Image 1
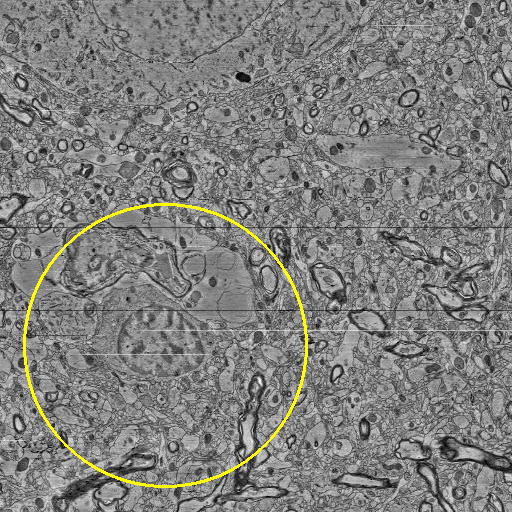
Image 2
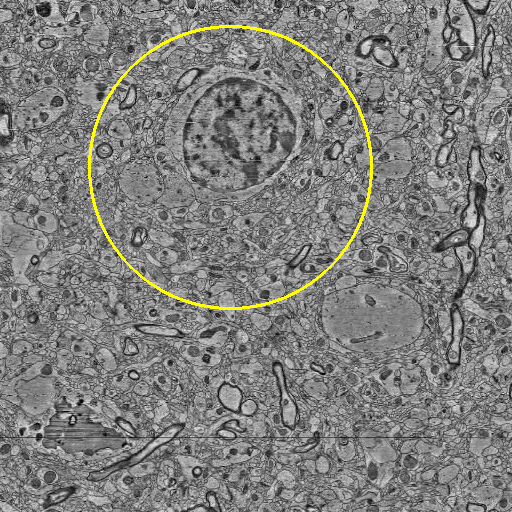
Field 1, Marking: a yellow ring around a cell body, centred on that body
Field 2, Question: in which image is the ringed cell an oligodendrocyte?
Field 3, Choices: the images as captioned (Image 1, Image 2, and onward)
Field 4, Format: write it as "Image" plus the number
Image 1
